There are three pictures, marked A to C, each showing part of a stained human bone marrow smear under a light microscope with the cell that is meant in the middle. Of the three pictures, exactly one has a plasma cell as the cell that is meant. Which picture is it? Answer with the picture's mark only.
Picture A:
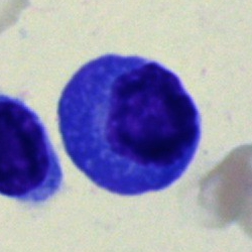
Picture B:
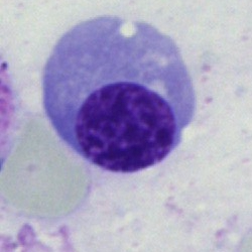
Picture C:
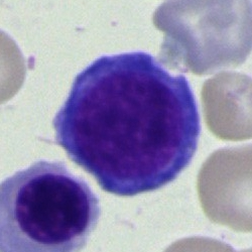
A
